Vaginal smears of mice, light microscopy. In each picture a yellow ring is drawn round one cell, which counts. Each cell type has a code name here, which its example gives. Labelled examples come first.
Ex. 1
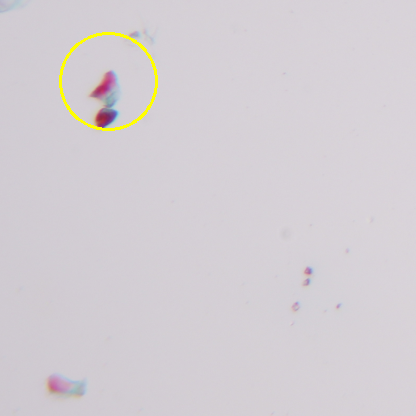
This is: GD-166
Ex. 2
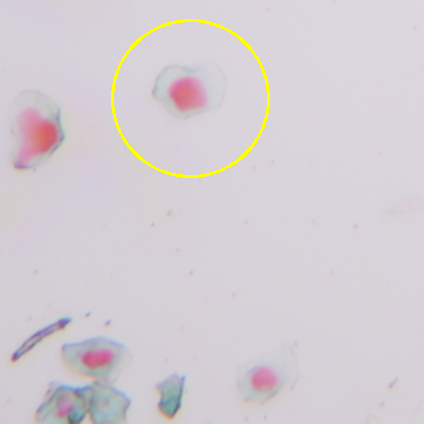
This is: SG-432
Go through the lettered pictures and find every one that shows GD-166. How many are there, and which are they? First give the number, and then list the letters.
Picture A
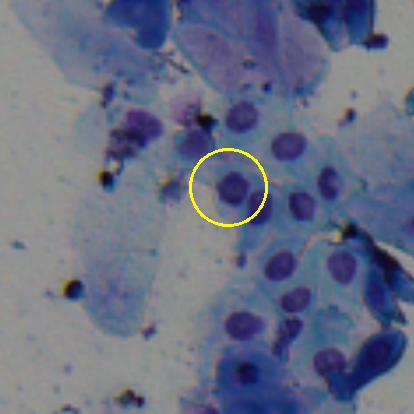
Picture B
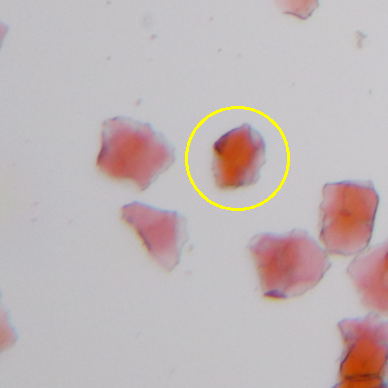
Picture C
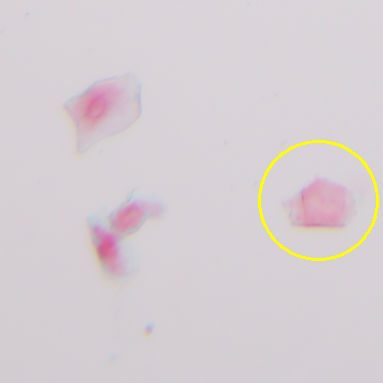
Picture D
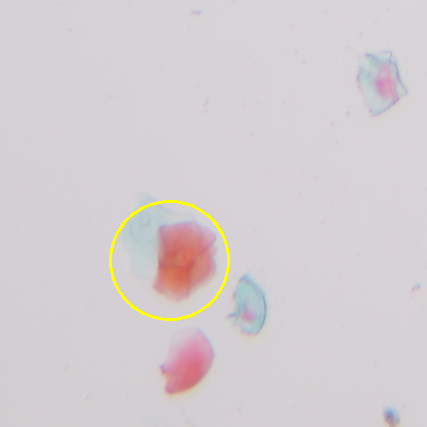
3: B, C, D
